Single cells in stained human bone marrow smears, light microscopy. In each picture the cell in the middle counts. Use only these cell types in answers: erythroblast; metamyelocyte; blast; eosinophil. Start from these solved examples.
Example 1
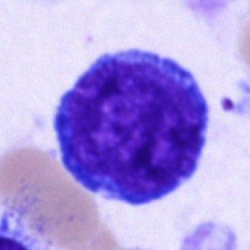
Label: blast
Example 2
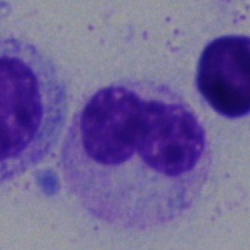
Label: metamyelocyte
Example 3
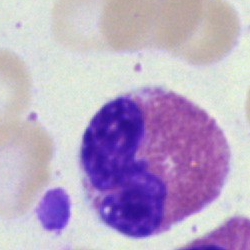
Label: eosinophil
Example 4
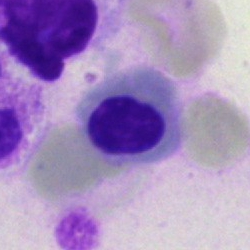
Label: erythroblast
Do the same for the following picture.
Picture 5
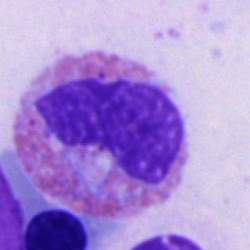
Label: eosinophil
